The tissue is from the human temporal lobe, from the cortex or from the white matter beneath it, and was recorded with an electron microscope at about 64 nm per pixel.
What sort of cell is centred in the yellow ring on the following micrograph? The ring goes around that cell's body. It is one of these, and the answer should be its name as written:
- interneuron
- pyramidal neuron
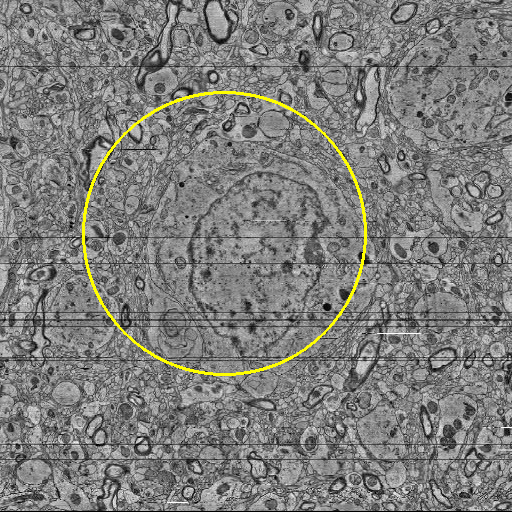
interneuron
